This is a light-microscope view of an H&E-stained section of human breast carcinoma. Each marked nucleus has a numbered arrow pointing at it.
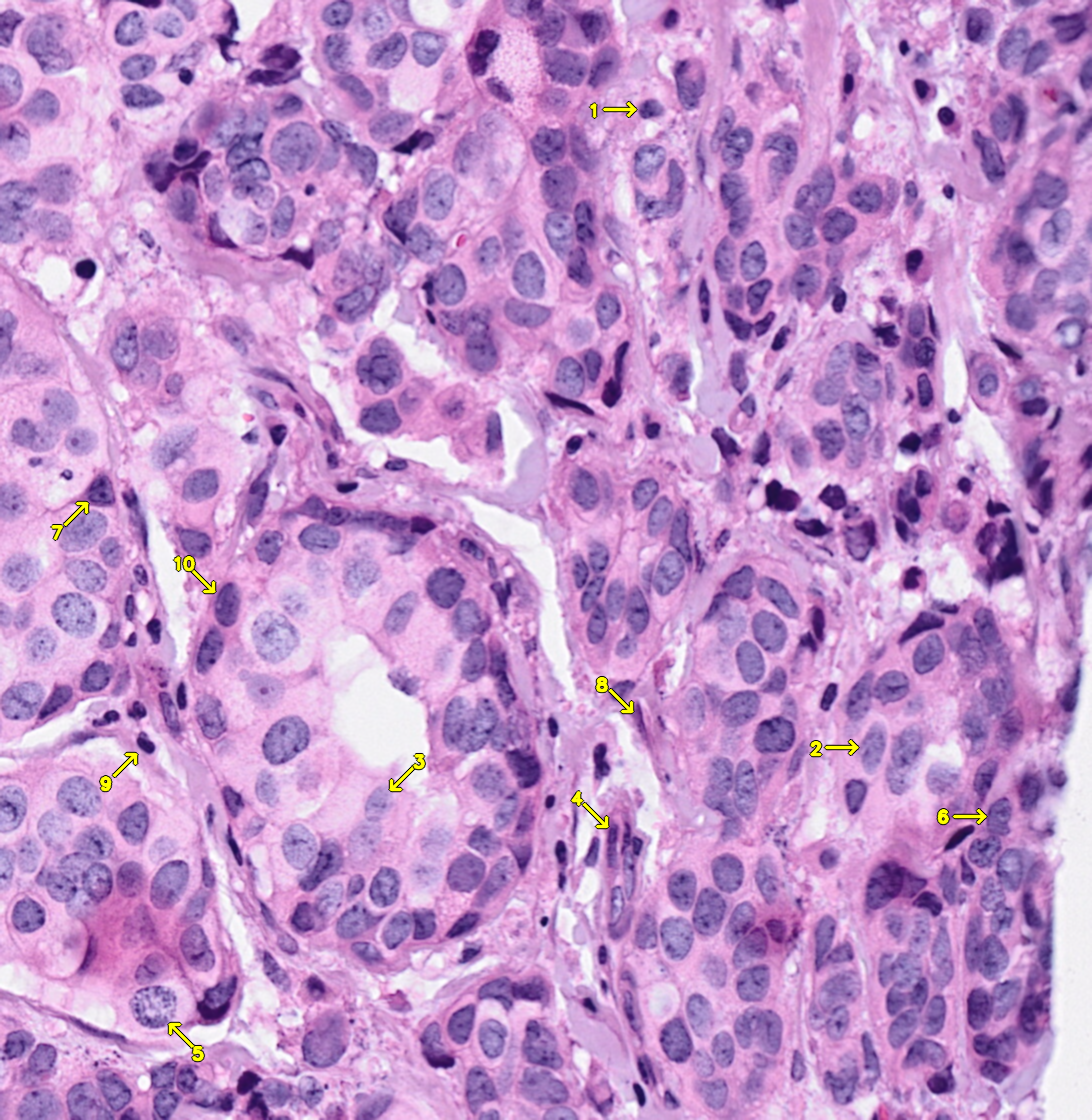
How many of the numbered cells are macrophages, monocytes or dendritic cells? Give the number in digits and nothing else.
0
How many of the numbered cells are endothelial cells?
1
